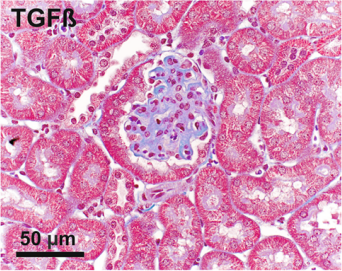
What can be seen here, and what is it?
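This is kidney cortex with a glomerulus in the centre, ringed by tubules cut in cross-section. The glomerular tuft is enlarged and crowded with dark purple nuclei, and much of it is taken up by blue-stained matrix, leaving few open capillary loops. Around it the tubular epithelium has red, granular cytoplasm and round nuclei, lining small lumens. Thin blue strands also run in places between the tubules.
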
